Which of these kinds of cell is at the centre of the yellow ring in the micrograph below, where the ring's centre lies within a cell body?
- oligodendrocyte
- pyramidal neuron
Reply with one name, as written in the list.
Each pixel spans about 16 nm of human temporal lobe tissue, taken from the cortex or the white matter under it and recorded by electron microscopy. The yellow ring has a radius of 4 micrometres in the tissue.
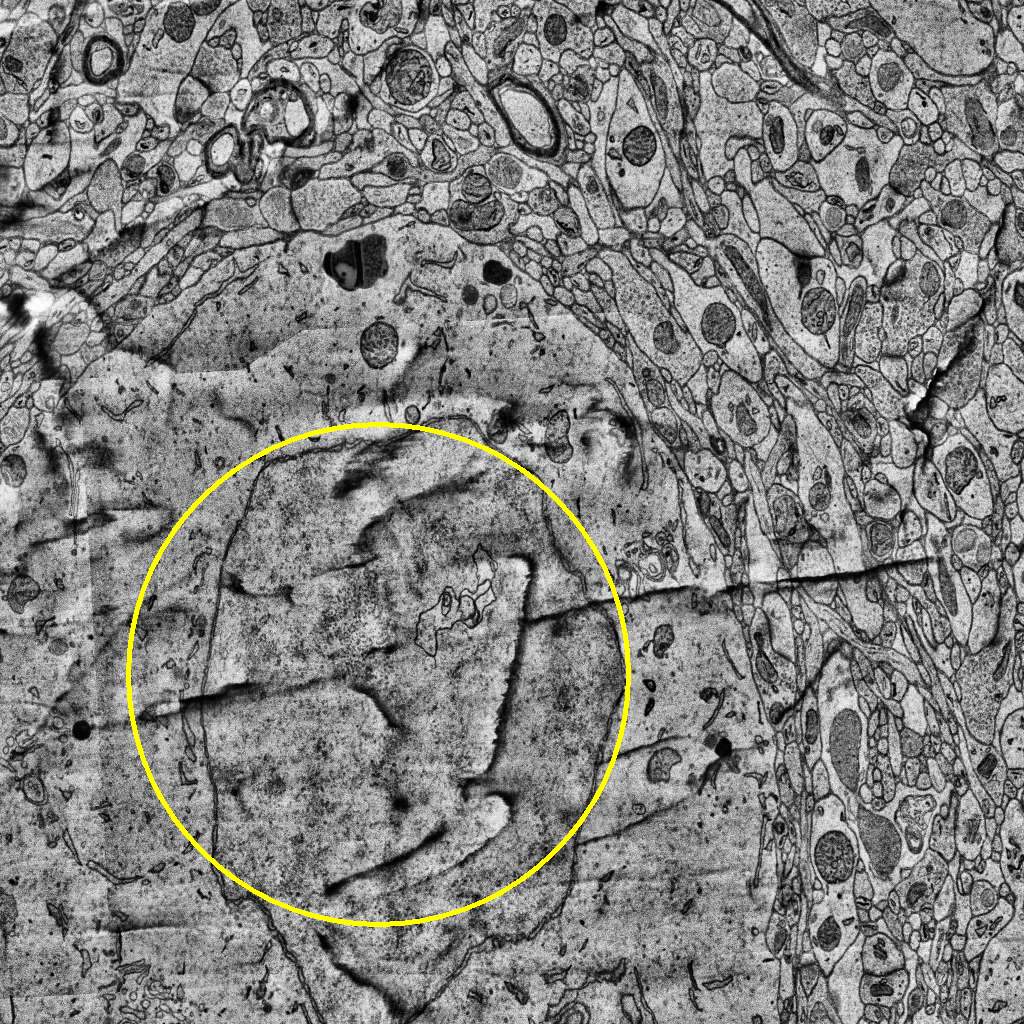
pyramidal neuron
